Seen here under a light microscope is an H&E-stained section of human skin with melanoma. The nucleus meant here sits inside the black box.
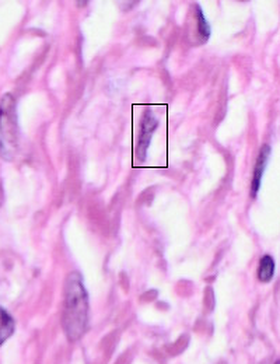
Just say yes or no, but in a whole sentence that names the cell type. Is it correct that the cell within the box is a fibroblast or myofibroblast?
Yes, the cell within the box is accurately described as a fibroblast or myofibroblast.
